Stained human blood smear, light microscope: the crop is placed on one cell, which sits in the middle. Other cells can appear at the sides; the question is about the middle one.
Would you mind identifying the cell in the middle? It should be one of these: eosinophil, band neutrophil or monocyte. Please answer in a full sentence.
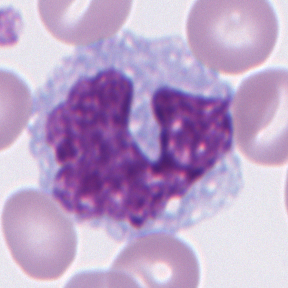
The target cell in the middle of the crop is a monocyte.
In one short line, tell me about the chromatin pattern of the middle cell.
This nucleus has coarsely clumped chromatin.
